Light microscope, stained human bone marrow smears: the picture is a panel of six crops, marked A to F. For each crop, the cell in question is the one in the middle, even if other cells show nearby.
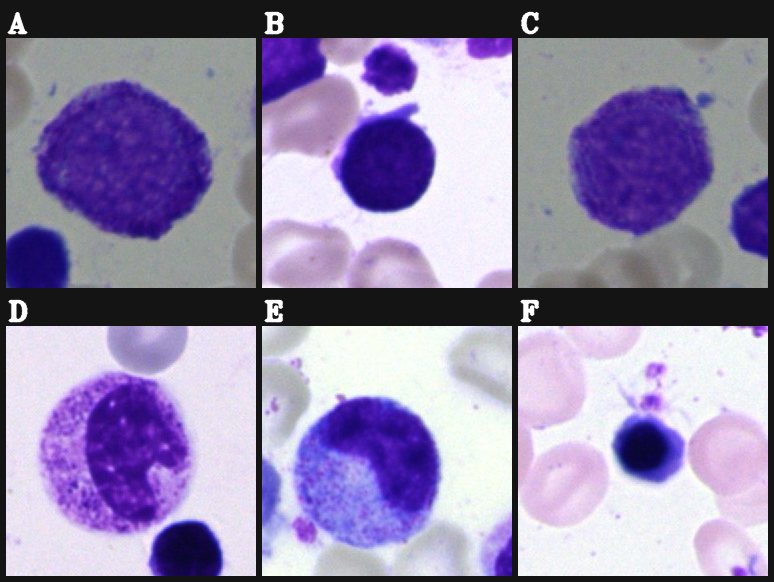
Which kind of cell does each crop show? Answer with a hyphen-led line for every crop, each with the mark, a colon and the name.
- A: blast
- B: lymphocyte
- C: blast
- D: metamyelocyte
- E: metamyelocyte
- F: erythroblast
